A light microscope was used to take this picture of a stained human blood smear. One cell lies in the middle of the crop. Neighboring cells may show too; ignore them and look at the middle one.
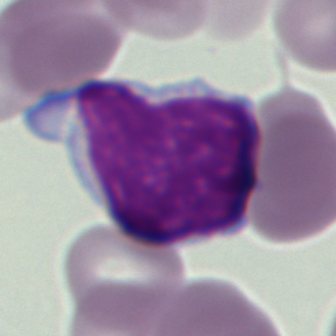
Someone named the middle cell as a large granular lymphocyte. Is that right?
yes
